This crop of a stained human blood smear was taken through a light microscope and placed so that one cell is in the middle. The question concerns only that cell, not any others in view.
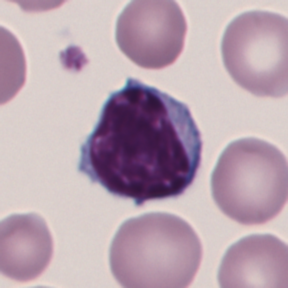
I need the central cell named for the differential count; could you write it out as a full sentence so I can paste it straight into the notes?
Centred in the crop is a typical lymphocyte.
